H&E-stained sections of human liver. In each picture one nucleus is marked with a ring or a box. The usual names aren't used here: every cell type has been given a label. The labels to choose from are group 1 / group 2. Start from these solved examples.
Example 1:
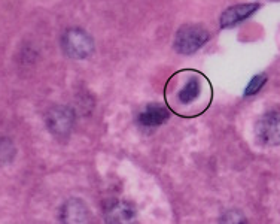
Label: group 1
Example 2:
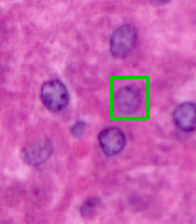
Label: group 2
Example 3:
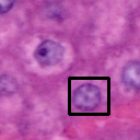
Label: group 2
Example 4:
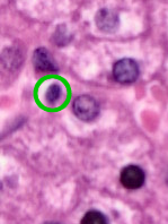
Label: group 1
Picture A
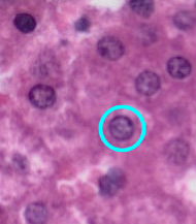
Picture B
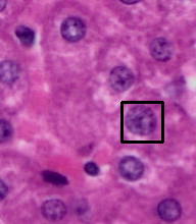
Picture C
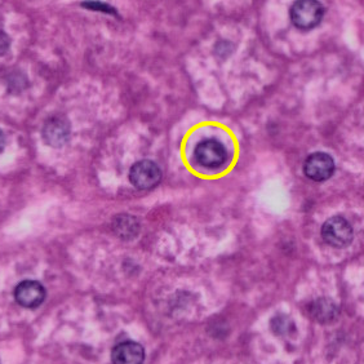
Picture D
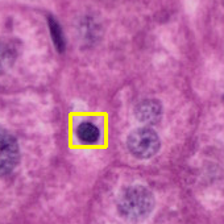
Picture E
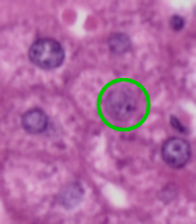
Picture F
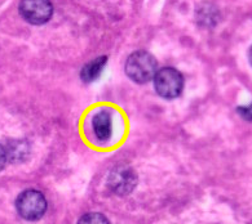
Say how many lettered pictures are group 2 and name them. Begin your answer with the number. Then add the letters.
Count: 4 (A, B, C, E)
